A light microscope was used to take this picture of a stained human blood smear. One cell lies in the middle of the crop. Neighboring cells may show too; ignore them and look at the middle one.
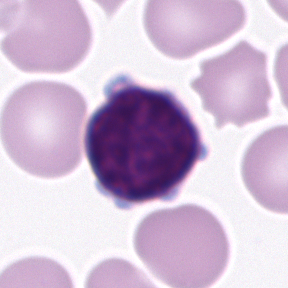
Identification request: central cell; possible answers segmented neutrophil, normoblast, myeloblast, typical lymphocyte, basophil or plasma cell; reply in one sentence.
Seen at the centre of the crop is a typical lymphocyte.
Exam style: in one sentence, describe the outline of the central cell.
Ragged or projecting, the border of this cell departs from a smooth contour.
